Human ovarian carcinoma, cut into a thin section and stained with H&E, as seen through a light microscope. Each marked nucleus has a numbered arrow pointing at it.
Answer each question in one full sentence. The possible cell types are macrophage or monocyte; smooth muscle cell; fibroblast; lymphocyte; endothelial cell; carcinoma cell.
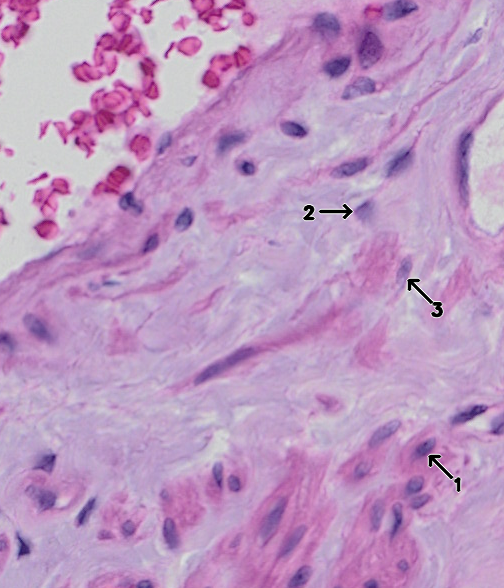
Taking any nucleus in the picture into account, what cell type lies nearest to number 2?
The nearest nucleus to number 2 belongs to a smooth muscle cell.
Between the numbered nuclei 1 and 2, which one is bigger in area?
Nucleus 2 is the larger one, covering about 1.5 times the area of nucleus 1.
